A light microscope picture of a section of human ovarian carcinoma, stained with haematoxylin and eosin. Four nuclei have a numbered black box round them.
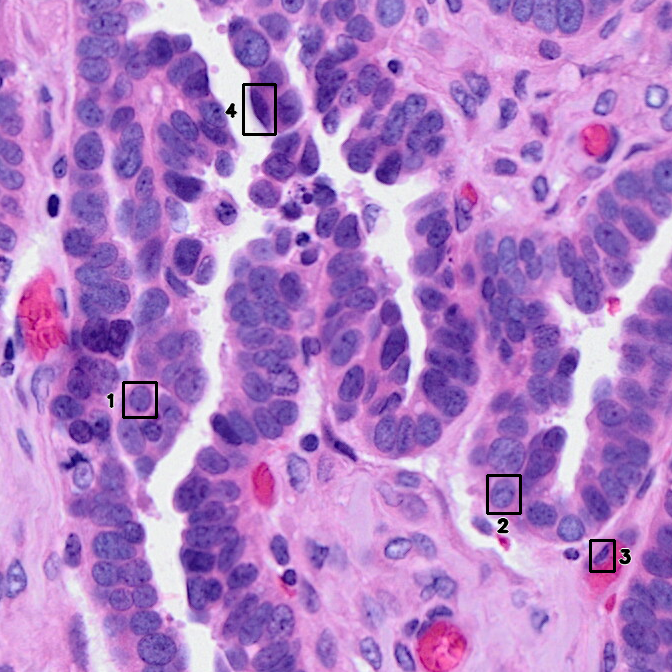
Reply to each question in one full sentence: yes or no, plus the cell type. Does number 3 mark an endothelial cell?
Yes, the cell bearing the number 3 is an endothelial cell.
